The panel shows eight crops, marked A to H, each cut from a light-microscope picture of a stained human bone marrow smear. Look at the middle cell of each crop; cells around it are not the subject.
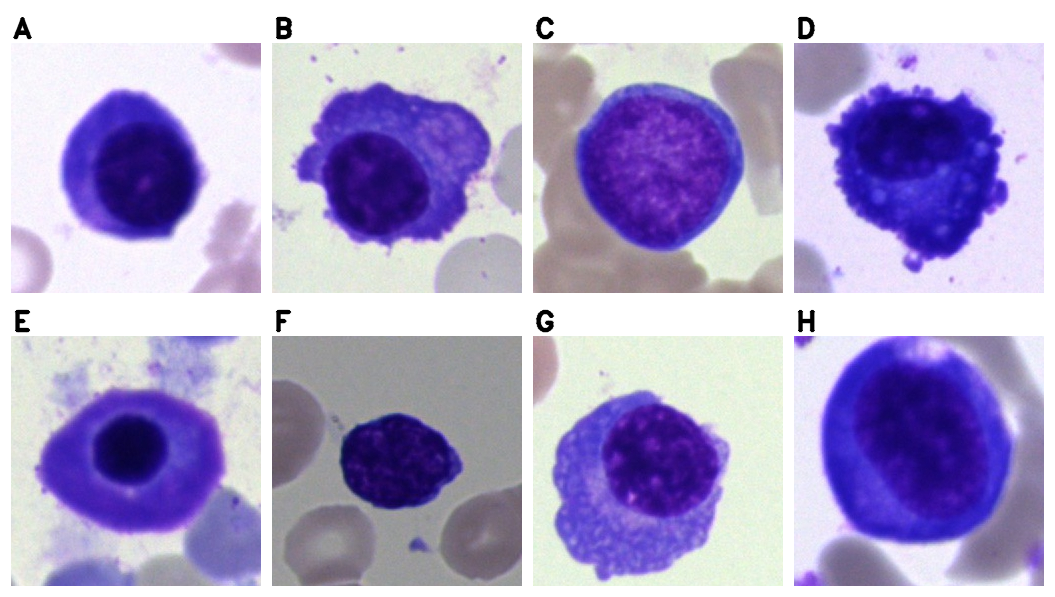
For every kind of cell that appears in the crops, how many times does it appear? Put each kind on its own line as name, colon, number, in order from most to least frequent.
plasma cell: 6
blast: 2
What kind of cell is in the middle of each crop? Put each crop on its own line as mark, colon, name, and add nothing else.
A: plasma cell
B: plasma cell
C: blast
D: plasma cell
E: plasma cell
F: blast
G: plasma cell
H: plasma cell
